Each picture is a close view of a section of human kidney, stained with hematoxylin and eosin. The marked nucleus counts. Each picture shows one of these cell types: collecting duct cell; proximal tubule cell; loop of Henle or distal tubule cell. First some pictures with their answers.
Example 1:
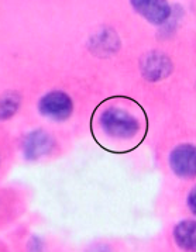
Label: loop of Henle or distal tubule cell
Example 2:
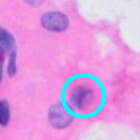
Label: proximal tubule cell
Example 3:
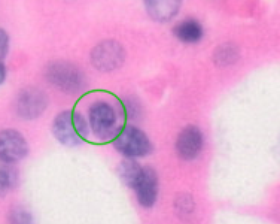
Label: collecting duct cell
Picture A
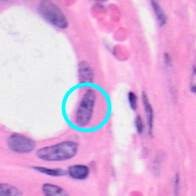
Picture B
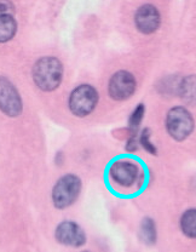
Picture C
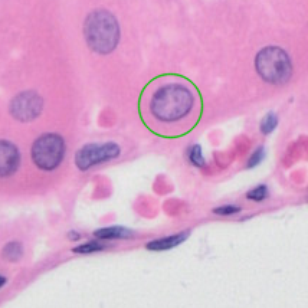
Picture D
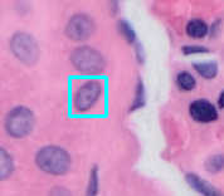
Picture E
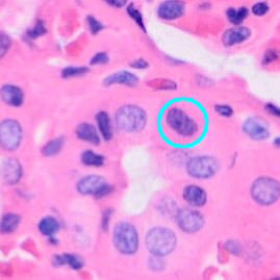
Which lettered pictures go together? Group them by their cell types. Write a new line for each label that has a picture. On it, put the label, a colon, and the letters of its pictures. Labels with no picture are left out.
collecting duct cell: A, B, E
proximal tubule cell: C, D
